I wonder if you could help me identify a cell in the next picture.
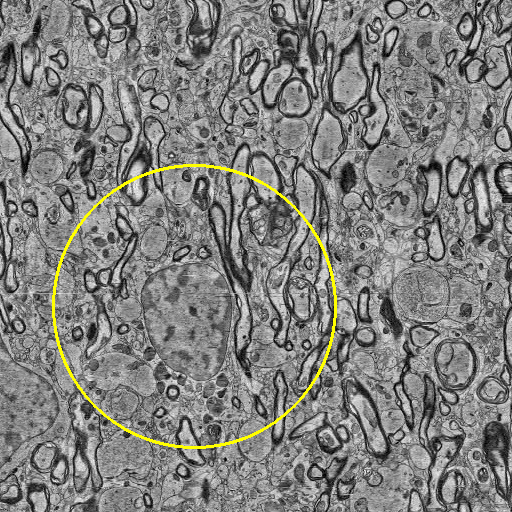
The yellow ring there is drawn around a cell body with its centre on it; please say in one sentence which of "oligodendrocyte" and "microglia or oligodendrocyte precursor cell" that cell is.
The yellow ring is centred on a microglial cell or oligodendrocyte precursor cell.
